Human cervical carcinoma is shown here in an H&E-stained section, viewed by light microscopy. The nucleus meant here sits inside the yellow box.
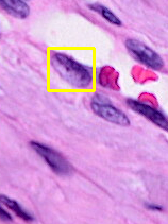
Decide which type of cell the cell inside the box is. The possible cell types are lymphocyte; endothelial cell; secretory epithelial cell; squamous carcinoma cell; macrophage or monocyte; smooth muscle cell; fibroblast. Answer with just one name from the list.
endothelial cell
